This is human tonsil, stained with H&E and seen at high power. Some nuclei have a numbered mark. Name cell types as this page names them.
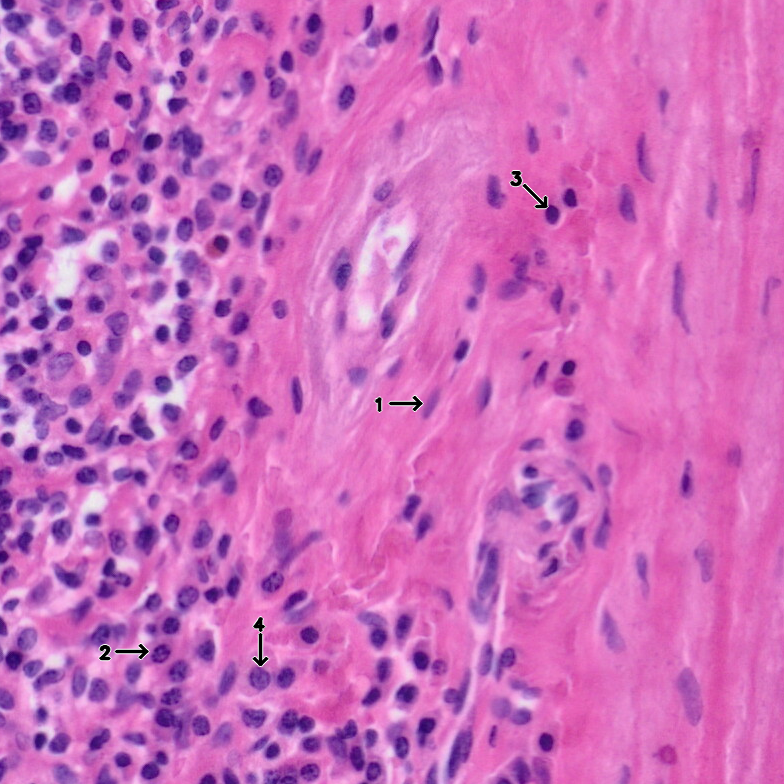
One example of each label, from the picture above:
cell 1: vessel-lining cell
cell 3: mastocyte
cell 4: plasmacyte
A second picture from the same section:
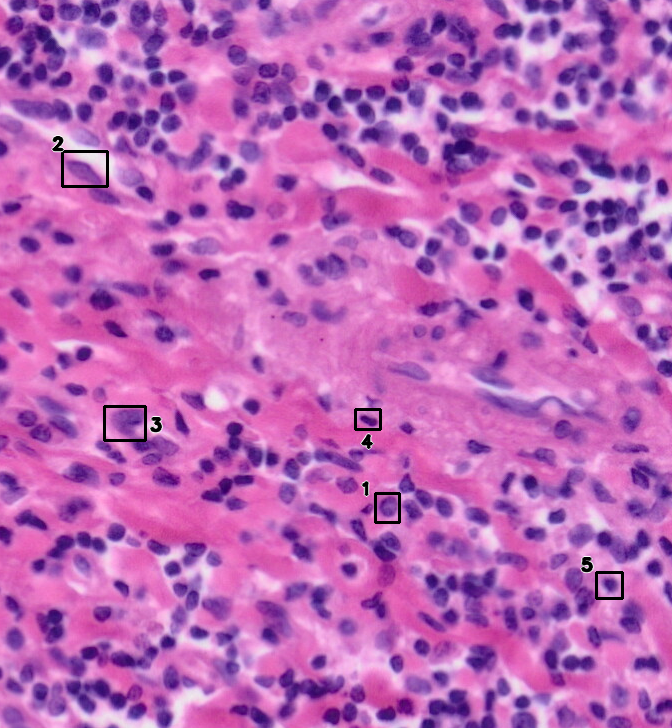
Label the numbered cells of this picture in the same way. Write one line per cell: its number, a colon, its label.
1: plasmacyte
2: vessel-lining cell
3: vessel-lining cell
4: mastocyte
5: mastocyte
